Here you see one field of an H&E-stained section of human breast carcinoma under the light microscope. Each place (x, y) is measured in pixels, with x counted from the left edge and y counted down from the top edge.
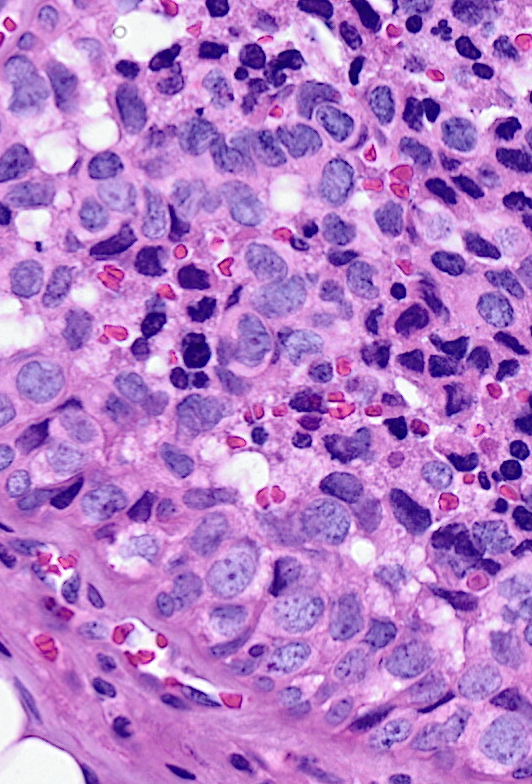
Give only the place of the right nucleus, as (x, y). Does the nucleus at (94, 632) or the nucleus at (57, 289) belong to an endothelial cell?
(94, 632)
